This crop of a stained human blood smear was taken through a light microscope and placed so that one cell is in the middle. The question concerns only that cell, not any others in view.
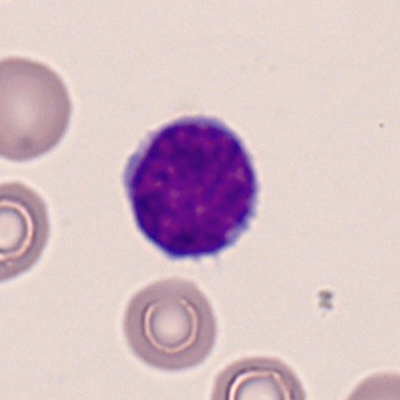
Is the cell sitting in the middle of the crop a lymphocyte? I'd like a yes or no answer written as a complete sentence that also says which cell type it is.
Yes, the centred cell is categorised as a lymphocyte.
